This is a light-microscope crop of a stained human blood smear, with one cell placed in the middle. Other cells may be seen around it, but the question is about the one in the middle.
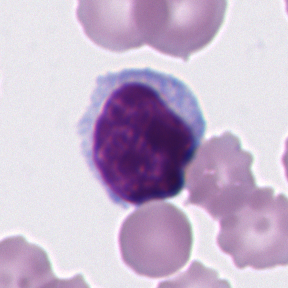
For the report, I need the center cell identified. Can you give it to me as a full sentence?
Where the crop is centred, there is a lymphocyte.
